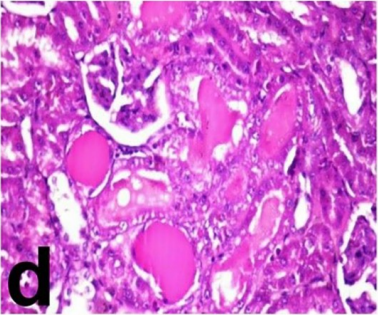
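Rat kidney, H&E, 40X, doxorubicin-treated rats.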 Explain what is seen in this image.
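This section of renal cortex shows tubules whose lumens are filled with casts, next to a glomerulus at the upper left. The casts are smooth, homogeneous and bright pink, filling rounded or oval lumens and taking their shape. The tubules around them are lined by cuboidal epithelial cells with purple round nuclei and pink cytoplasm. The glomerulus sits within its capsule with a clear space around part of the tuft. The casts stand out as much more intensely pink than the surrounding tubular cytoplasm.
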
